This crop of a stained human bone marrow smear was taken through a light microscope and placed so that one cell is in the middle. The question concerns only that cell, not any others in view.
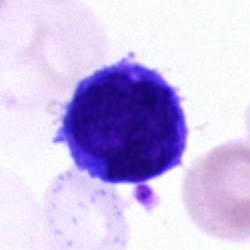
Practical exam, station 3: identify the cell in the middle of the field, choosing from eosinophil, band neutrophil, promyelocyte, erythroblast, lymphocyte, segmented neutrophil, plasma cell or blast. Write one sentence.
The cell occupying the middle of the crop is a blast.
